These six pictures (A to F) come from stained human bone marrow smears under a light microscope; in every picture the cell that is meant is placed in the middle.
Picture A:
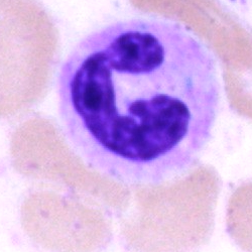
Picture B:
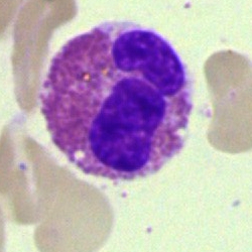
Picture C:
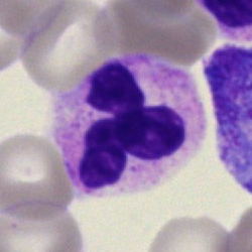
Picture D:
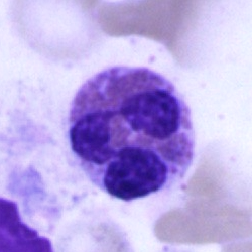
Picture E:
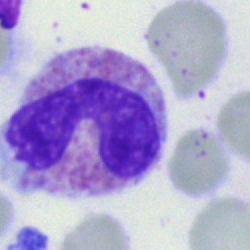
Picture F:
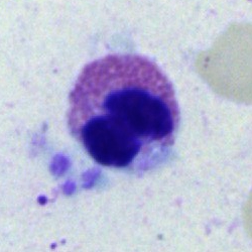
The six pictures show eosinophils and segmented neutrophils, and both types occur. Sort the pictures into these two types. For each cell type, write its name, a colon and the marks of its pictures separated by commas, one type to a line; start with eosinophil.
eosinophil: B, D, E, F
segmented neutrophil: A, C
